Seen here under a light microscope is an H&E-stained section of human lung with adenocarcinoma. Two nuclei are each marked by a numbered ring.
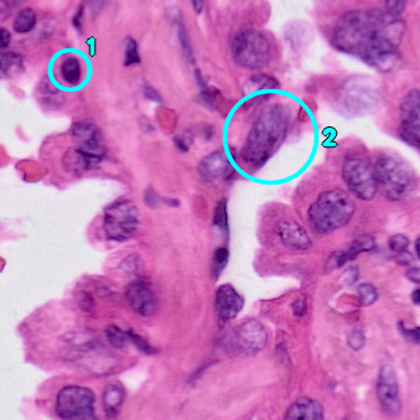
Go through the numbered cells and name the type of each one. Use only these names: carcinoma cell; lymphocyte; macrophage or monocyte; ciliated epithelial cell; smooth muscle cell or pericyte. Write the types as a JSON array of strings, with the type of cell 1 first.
["lymphocyte", "carcinoma cell"]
